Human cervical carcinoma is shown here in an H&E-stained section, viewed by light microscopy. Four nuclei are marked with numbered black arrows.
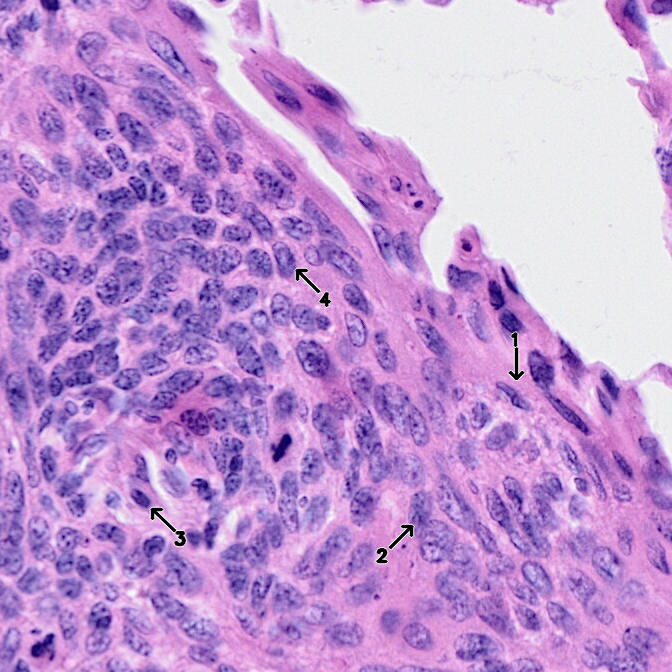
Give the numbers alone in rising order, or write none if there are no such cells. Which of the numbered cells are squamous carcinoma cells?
1, 2, 4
